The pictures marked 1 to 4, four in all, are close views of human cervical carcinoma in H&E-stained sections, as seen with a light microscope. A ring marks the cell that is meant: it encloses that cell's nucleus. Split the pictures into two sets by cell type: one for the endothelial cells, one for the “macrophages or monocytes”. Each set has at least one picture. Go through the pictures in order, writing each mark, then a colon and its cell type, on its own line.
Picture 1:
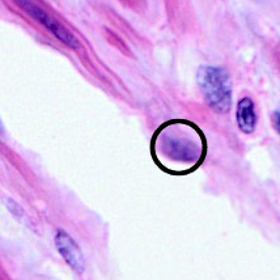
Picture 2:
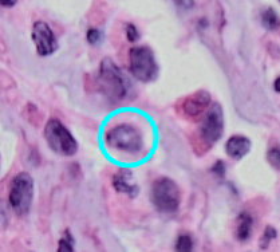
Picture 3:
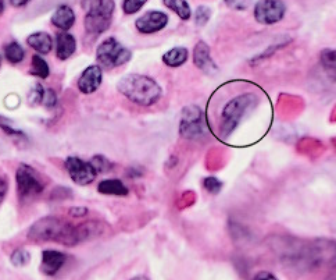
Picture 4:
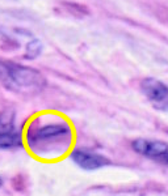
1: endothelial cell
2: macrophage or monocyte
3: endothelial cell
4: endothelial cell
